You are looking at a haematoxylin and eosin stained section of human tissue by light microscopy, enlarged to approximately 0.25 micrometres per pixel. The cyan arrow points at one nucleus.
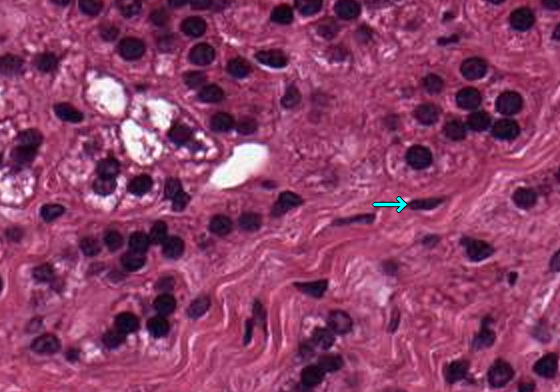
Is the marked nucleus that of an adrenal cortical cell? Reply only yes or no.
no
